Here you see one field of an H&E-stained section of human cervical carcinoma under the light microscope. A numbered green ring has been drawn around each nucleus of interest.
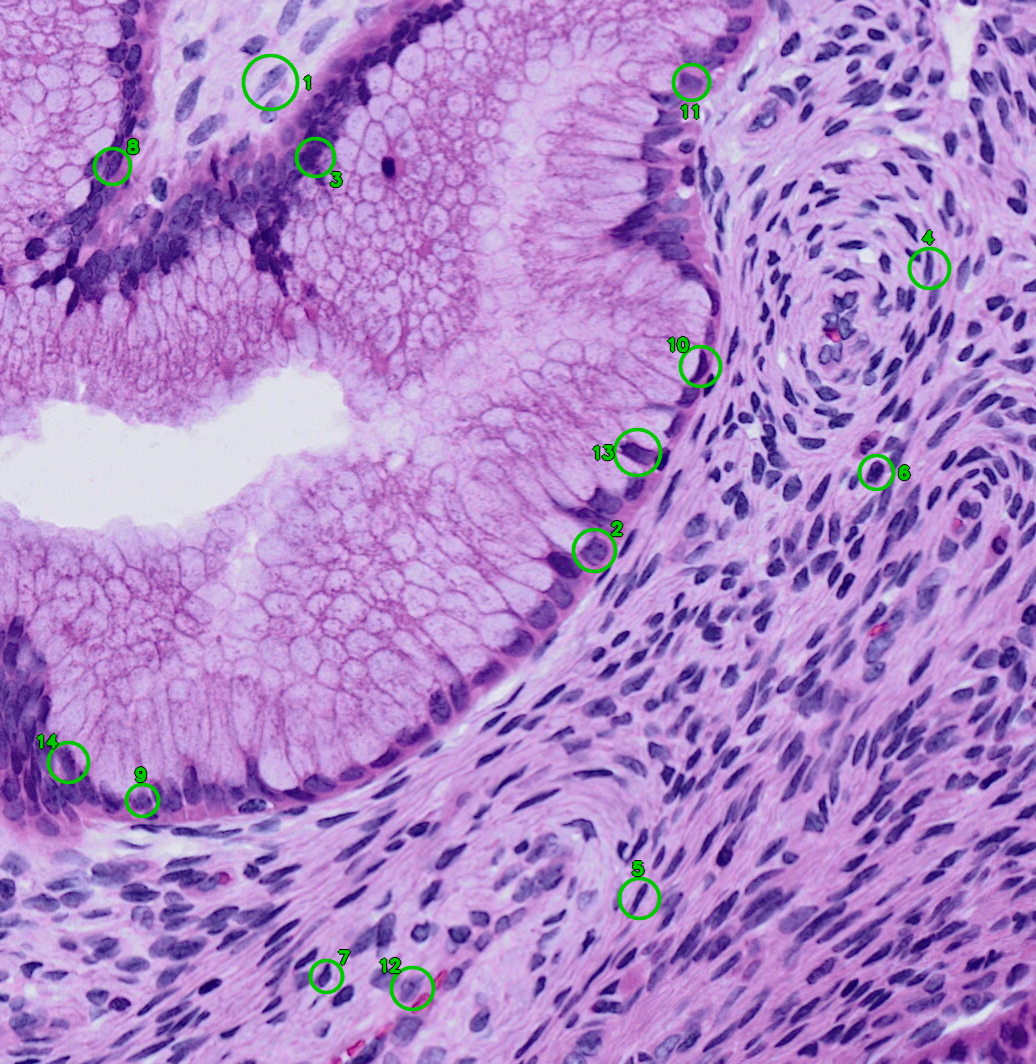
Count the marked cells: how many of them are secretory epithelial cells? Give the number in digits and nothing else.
8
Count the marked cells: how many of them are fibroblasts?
4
